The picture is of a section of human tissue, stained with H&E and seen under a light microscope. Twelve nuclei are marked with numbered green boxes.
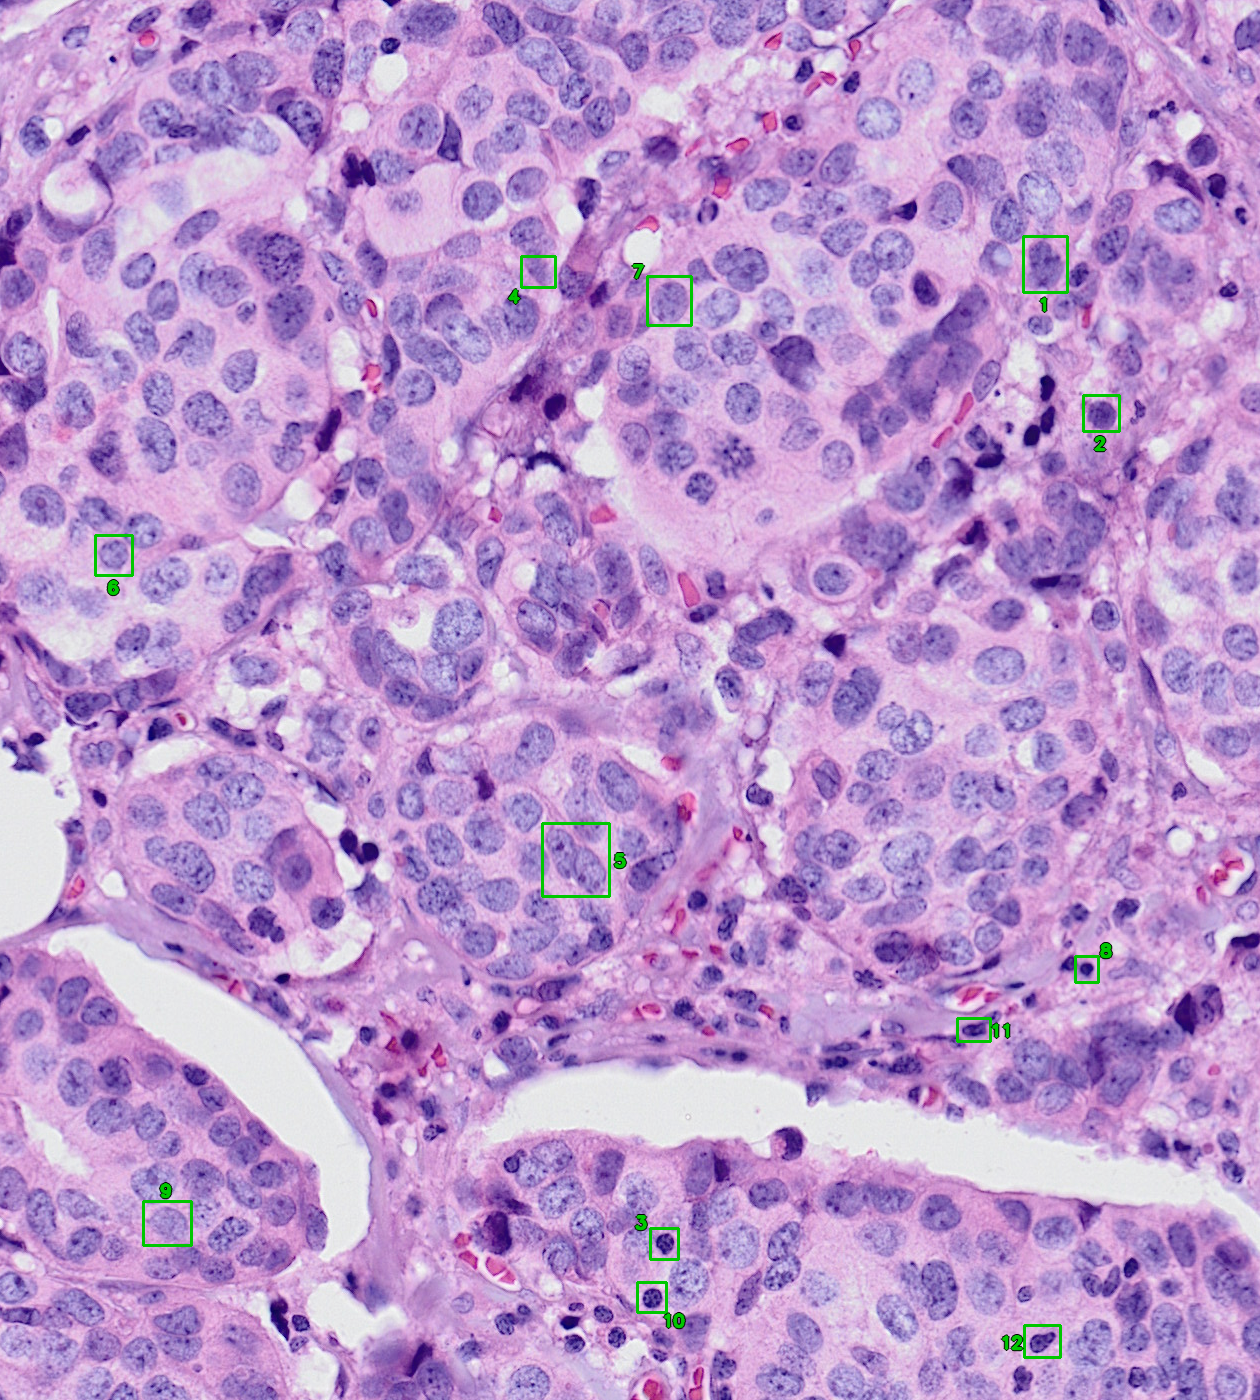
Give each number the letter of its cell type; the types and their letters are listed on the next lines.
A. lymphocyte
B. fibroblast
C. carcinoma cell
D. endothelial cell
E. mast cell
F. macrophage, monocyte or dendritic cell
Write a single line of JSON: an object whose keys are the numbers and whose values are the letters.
{"1": "C", "2": "C", "3": "A", "4": "C", "5": "C", "6": "C", "7": "C", "8": "A", "9": "C", "10": "A", "11": "A", "12": "A"}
